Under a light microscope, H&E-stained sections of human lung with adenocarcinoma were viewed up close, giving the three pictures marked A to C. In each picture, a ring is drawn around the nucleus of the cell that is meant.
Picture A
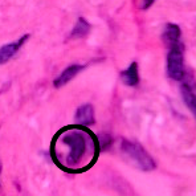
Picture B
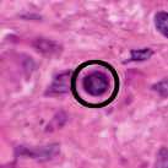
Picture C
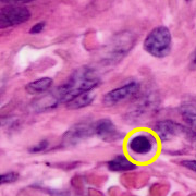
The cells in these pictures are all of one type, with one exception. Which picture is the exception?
C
